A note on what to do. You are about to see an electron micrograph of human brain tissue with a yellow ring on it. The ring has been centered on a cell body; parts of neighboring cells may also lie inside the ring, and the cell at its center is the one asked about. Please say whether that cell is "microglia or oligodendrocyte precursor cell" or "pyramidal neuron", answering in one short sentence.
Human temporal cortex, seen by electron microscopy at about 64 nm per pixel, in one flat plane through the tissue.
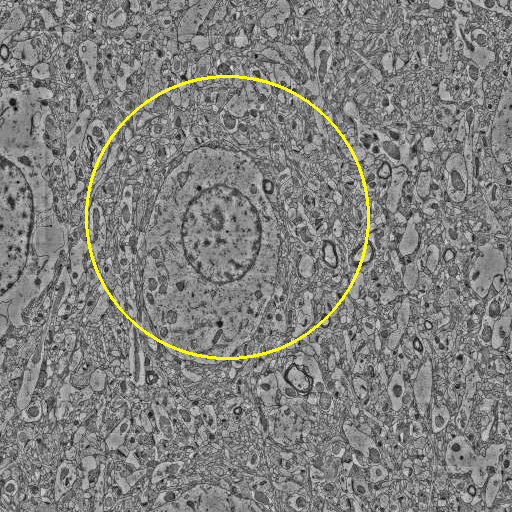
The yellow ring sits on a pyramidal neuron.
